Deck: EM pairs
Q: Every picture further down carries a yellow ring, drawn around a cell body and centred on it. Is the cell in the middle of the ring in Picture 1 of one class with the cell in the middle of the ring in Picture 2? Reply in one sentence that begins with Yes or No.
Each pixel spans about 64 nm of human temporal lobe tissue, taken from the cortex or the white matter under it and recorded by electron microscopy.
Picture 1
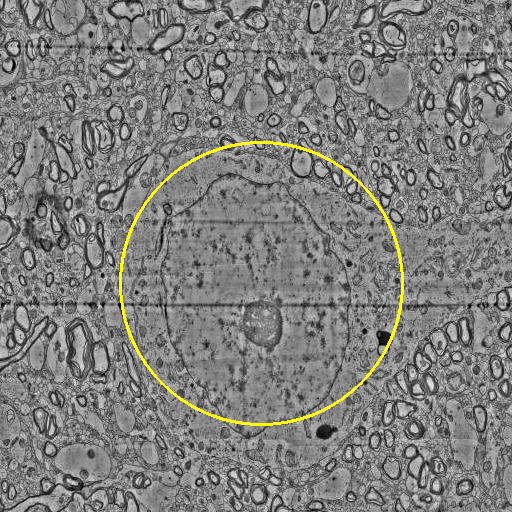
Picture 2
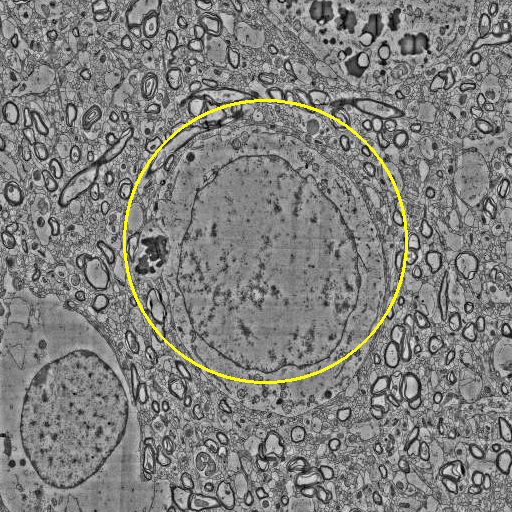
Yes, the cell centred in the ring of Picture 1 and the one in Picture 2 belong to one class.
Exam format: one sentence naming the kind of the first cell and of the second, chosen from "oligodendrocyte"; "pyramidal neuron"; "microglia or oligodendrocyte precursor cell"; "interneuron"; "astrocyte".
Each of the two rings surrounds a pyramidal neuron.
